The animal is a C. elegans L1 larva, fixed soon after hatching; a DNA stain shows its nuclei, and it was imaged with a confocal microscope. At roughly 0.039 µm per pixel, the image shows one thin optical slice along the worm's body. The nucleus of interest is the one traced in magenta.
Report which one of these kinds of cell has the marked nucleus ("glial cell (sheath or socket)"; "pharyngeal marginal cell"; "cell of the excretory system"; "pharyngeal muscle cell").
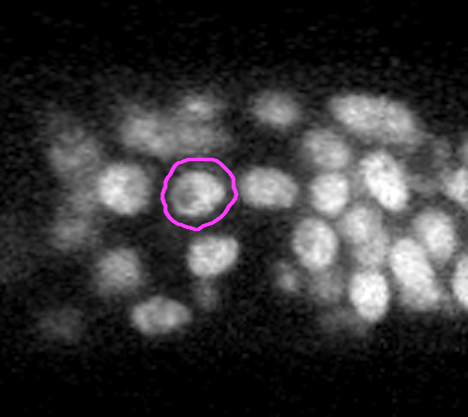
pharyngeal muscle cell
